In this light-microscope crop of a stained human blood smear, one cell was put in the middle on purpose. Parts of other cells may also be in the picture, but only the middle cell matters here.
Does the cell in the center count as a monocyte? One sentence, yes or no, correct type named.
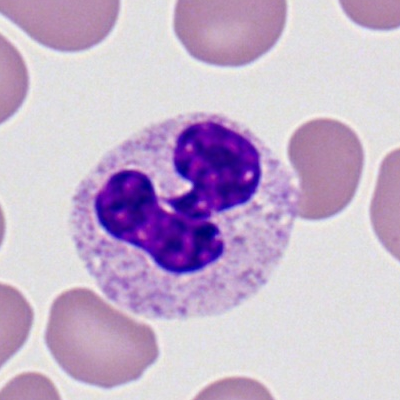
No, the cell in the middle is correctly named a segmented neutrophil, not a monocyte.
